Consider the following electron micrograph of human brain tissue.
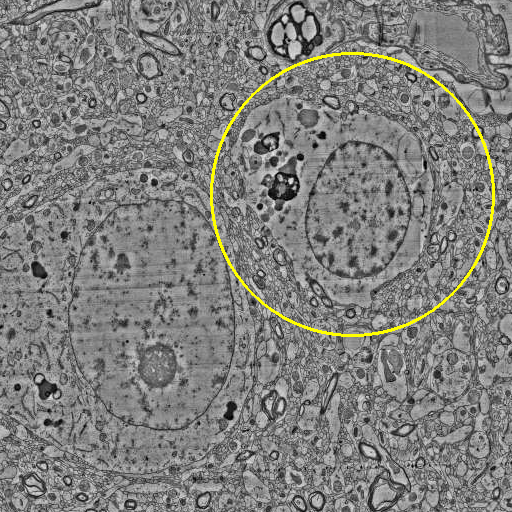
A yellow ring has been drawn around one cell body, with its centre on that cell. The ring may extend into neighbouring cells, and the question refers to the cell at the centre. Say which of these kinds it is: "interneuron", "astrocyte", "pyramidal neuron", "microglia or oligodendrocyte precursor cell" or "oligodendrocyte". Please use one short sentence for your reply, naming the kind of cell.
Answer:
The centre of the ring falls on an astrocyte.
